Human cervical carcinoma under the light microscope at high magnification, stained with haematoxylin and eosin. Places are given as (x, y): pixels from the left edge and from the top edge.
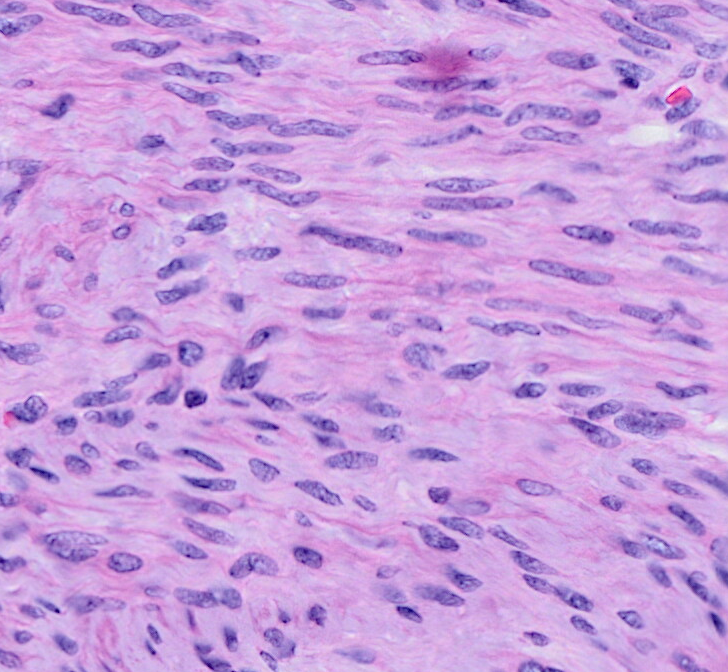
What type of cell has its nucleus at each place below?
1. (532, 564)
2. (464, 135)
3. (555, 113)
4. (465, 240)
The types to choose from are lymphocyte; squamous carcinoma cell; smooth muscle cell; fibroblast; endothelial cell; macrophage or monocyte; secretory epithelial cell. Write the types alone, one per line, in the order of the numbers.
fibroblast
smooth muscle cell
smooth muscle cell
smooth muscle cell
